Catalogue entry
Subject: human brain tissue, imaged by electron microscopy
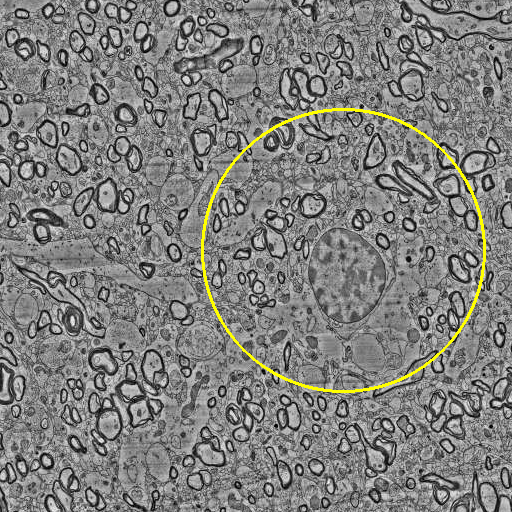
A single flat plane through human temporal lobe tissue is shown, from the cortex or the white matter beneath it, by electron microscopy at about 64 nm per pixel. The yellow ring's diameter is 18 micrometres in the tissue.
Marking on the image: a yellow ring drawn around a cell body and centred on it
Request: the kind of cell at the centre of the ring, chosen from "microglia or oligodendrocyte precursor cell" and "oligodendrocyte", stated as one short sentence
The ring has a microglial cell or oligodendrocyte precursor cell at its centre.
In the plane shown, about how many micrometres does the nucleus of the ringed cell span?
About 6 by 5 micrometers, in this plane.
